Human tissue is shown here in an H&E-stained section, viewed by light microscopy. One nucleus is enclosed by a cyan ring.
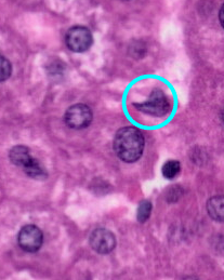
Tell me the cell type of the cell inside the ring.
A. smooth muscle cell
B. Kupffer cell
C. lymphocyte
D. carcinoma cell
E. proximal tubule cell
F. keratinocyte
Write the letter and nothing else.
B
